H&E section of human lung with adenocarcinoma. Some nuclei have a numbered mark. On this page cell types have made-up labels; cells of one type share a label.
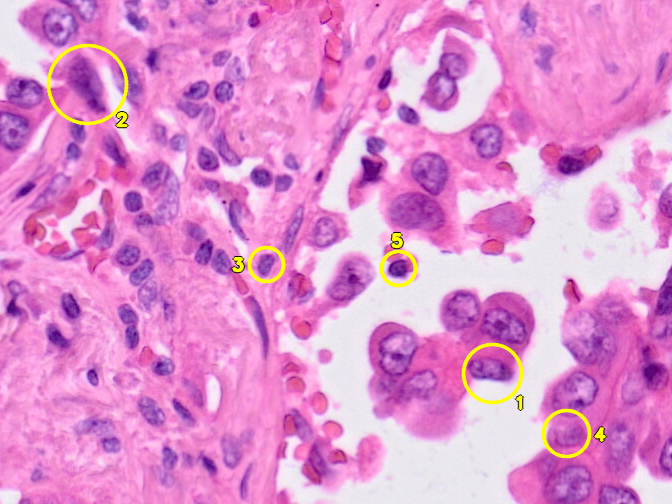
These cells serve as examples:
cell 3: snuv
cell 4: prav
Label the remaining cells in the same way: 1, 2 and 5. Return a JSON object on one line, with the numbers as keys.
{"1": "prav", "2": "prav", "5": "snuv"}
